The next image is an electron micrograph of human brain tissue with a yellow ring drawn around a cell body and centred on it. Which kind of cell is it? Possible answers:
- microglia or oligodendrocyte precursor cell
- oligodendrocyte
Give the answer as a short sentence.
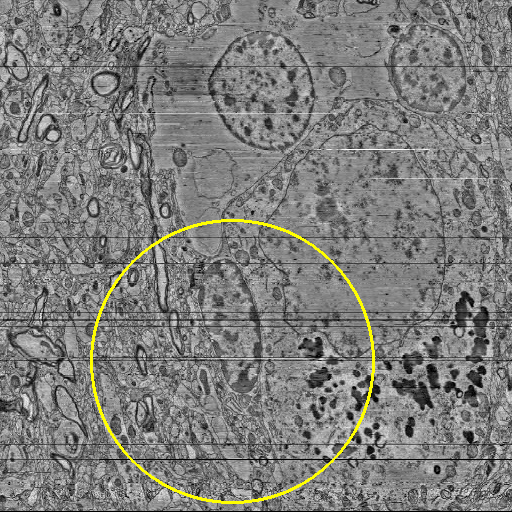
In the ring's centre is a microglial cell or oligodendrocyte precursor cell.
